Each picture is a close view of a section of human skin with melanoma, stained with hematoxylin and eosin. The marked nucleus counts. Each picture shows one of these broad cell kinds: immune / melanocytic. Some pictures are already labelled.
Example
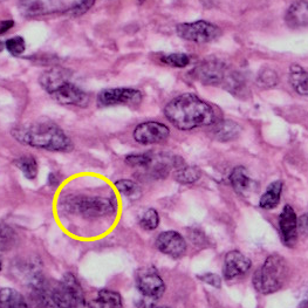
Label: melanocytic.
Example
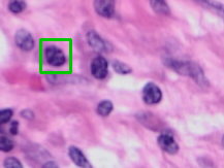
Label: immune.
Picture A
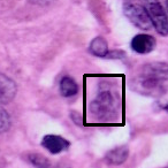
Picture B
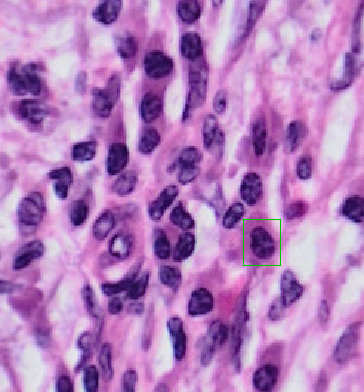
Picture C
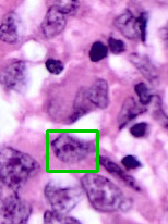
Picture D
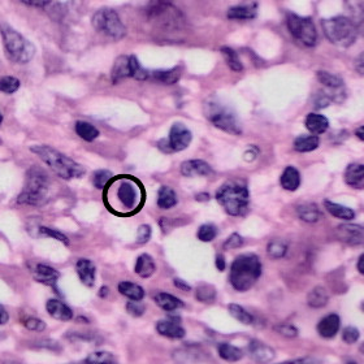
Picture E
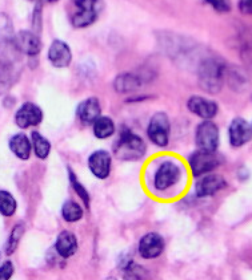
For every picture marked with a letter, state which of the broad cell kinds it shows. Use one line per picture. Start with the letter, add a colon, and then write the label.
A: melanocytic.
B: immune.
C: melanocytic.
D: immune.
E: immune.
